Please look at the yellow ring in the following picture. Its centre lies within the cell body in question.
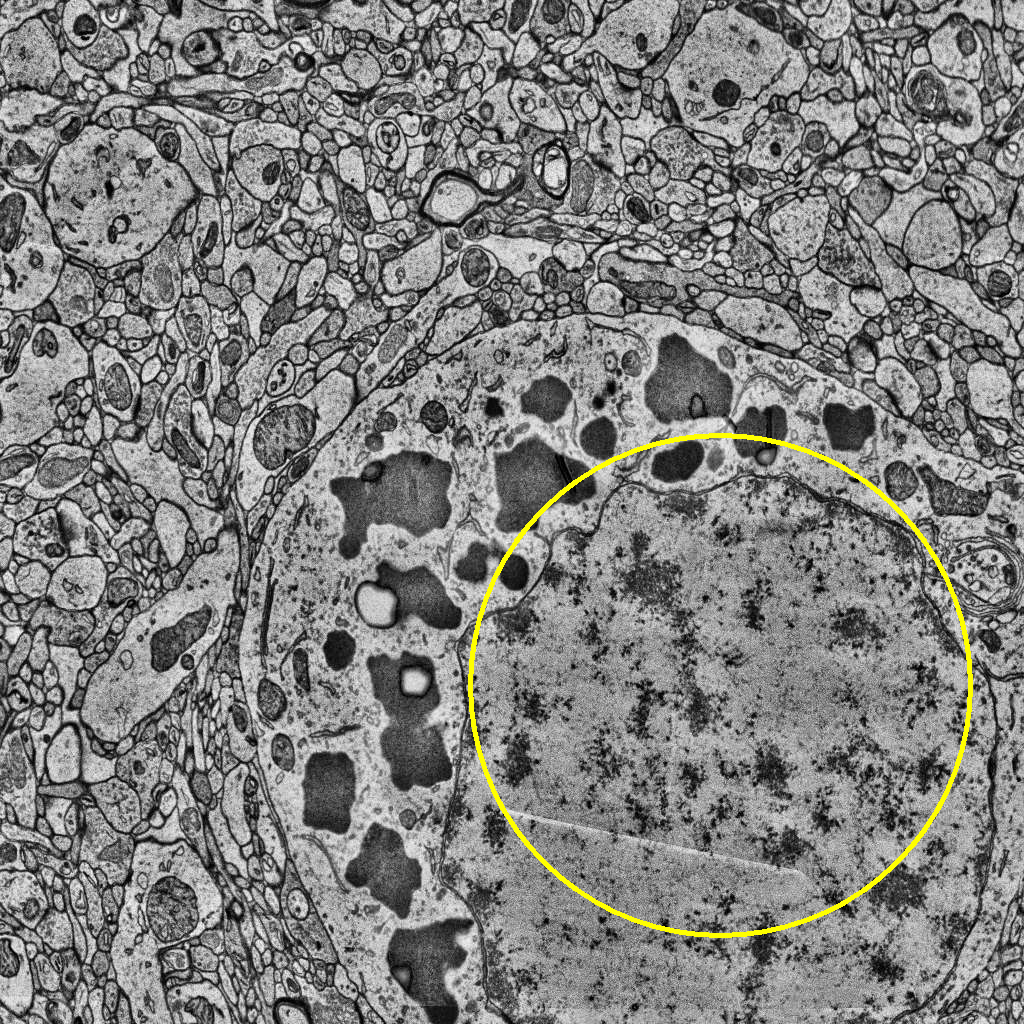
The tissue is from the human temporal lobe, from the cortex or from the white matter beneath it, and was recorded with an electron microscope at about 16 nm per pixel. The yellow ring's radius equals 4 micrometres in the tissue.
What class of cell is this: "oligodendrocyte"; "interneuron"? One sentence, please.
The centre of the ring lies in the cell body of an interneuron.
